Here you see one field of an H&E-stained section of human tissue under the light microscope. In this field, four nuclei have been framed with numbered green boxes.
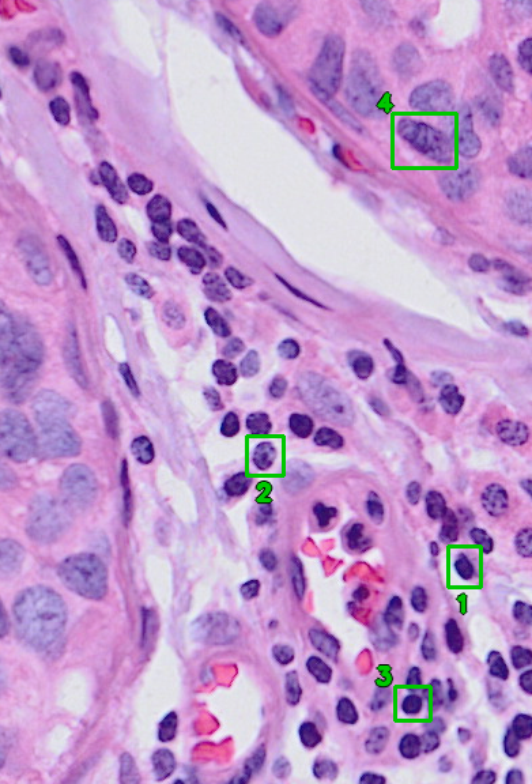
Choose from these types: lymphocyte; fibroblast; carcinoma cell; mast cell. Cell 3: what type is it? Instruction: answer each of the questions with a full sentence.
In this section, the cell numbered 3 is a lymphocyte.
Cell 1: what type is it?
Recognised here as a lymphocyte is the cell numbered 1.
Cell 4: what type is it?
The nucleus labeled 4 belongs to a carcinoma cell.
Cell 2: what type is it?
Here, the cell given the number 2 is a lymphocyte.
